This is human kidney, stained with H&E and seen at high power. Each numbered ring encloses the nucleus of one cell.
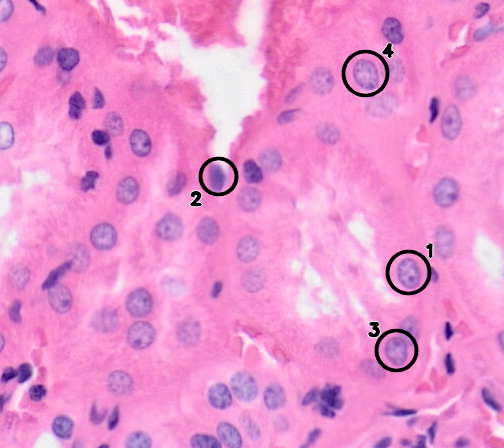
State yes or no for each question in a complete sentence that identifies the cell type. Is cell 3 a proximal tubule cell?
Yes, the cell given number 3 is a proximal tubule cell.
